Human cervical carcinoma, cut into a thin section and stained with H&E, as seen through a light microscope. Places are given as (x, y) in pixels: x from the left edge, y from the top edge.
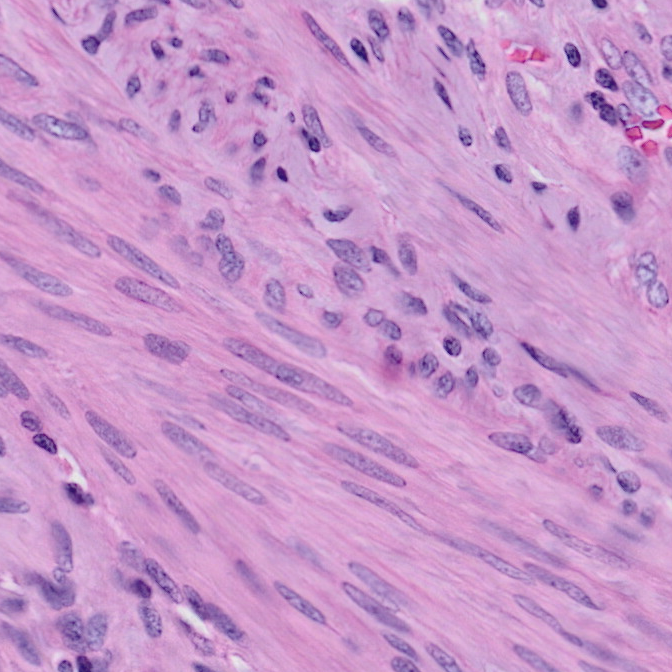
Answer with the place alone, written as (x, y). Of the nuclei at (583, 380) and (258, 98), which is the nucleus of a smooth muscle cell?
(258, 98)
